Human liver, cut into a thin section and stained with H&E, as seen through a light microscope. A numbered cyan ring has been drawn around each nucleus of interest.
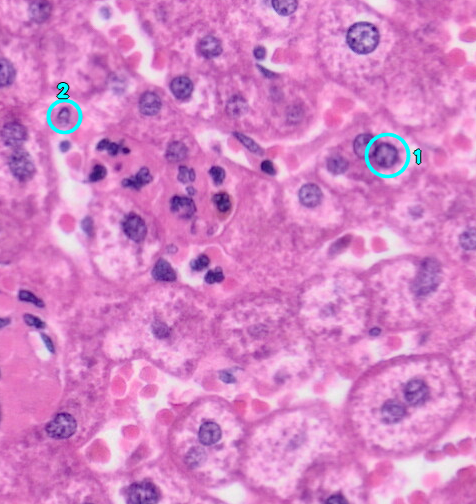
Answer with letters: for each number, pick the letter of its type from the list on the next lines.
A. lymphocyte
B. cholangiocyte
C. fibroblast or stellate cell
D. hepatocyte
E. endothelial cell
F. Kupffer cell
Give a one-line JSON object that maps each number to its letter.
{"1": "D", "2": "F"}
